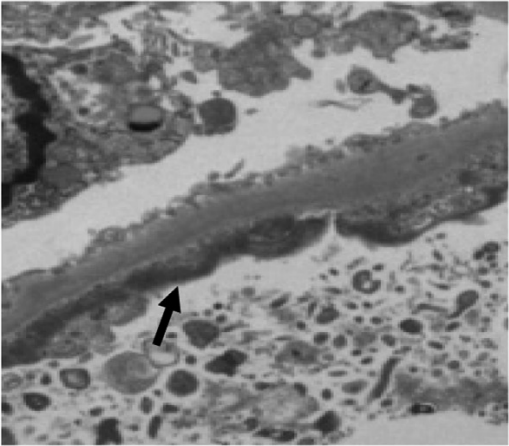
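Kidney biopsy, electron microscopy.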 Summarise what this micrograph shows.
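A thick, evenly grey basement membrane runs diagonally across the field, separating an open pale space above from a region below crowded with small round and oval dense profiles and membrane fragments. Along the lower surface of the membrane, where the arrow points, the covering epithelial cytoplasm forms a fairly continuous dark band rather than a row of small, separate feet with slits between them. At upper left a dark nucleus lies in cytoplasm. This is a glomerular capillary wall in which the podocyte foot processes appear flattened and fused, the picture of foot process effacement.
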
